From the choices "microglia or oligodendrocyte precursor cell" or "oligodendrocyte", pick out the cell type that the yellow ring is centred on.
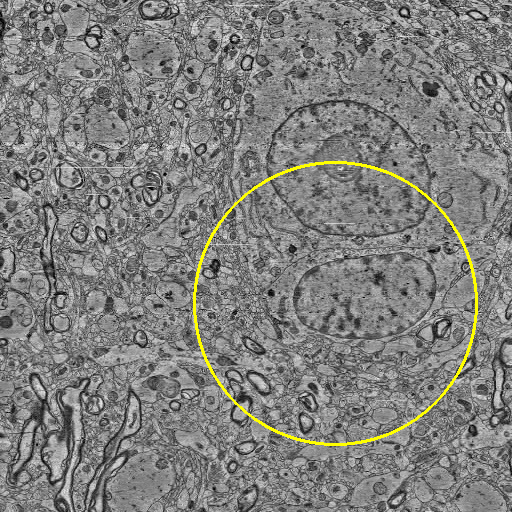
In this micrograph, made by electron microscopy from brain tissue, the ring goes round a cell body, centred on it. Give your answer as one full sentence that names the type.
The yellow ring is centred on a microglial cell or oligodendrocyte precursor cell, whose cell body it encircles in the picture.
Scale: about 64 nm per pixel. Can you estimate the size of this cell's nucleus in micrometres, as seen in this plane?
About 9 by 6 micrometres in this plane.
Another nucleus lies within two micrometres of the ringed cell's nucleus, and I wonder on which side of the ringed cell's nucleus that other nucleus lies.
That other nucleus sits above it.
